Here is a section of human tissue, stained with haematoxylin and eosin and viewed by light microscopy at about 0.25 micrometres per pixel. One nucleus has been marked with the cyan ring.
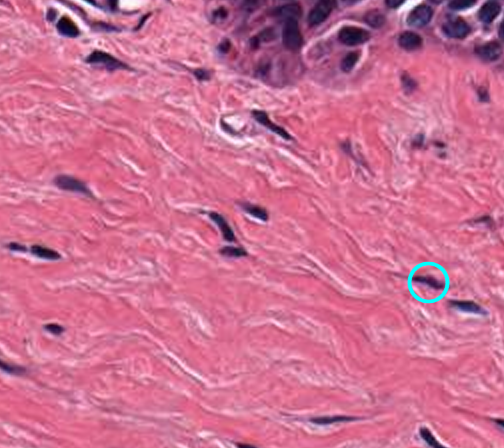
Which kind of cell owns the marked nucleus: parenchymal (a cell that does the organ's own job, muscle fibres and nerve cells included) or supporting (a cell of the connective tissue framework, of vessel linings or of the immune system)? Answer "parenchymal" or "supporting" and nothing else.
supporting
